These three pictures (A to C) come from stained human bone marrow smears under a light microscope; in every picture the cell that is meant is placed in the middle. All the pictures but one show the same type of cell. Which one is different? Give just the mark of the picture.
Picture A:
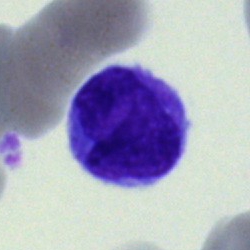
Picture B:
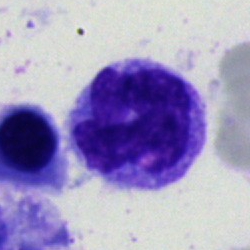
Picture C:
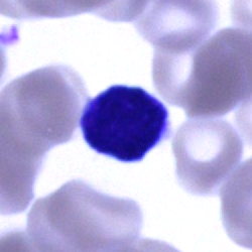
C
